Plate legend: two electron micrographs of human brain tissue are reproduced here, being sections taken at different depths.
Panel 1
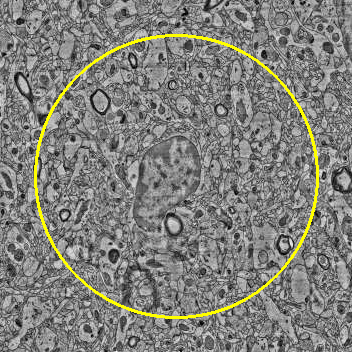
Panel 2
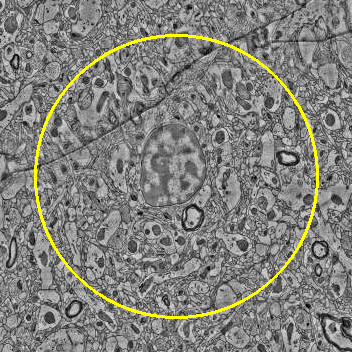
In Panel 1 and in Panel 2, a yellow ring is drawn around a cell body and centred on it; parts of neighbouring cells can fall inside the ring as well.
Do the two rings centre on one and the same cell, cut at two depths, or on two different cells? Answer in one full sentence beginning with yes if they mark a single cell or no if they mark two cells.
Yes, one cell is ringed in yellow twice over.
